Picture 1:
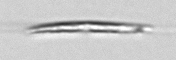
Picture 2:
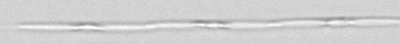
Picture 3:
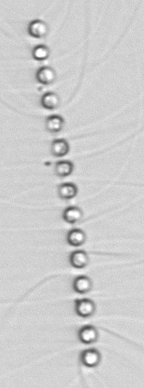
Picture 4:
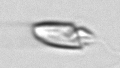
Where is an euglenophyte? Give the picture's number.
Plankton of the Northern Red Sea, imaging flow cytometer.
1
